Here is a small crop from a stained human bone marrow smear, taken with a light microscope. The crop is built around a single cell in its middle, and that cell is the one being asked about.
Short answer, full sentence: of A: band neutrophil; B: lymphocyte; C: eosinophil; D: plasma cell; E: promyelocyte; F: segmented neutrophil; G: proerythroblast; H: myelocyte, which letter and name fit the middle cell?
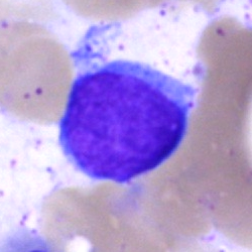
What sits in the middle of the crop is a lymphocyte, and option B is correct.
